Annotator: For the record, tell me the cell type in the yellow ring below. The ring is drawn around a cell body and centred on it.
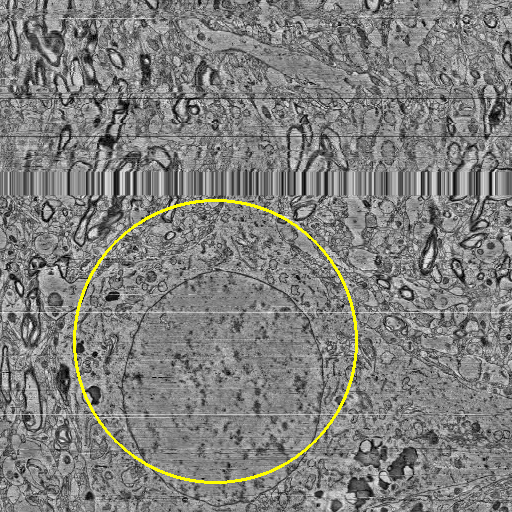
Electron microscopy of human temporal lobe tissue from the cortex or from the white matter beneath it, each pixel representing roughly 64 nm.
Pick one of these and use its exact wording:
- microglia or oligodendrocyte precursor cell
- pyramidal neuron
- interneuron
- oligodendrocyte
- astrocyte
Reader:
pyramidal neuron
